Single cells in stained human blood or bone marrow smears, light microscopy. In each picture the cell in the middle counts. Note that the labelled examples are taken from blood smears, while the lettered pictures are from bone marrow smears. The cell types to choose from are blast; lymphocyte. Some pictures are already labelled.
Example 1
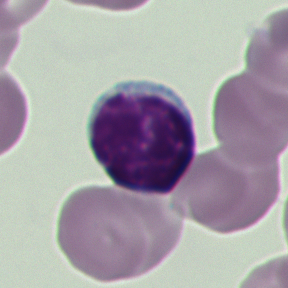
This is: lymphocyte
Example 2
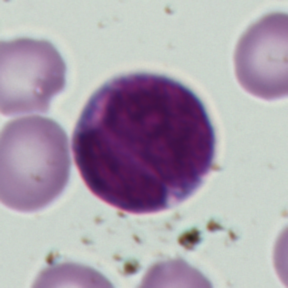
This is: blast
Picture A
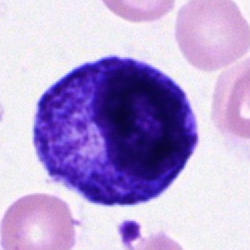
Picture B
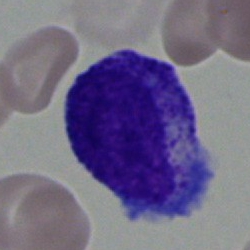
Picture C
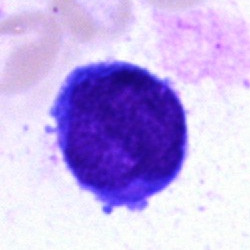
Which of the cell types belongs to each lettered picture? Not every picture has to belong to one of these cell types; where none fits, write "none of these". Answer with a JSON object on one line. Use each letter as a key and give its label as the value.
{"A": "none of these", "B": "none of these", "C": "blast"}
